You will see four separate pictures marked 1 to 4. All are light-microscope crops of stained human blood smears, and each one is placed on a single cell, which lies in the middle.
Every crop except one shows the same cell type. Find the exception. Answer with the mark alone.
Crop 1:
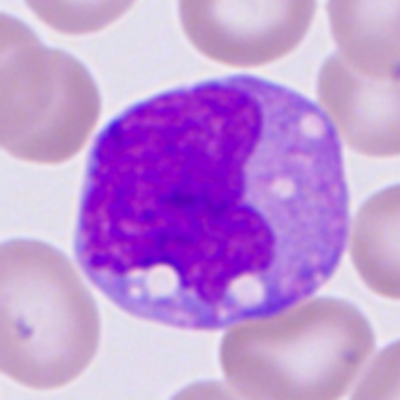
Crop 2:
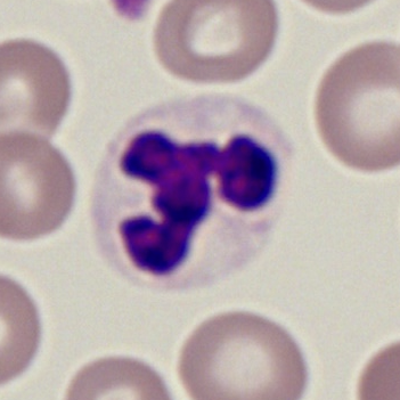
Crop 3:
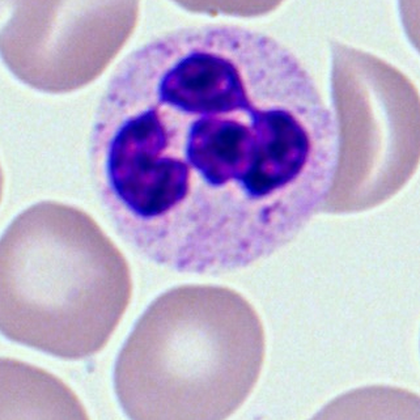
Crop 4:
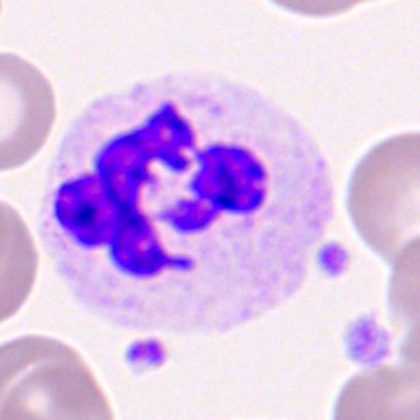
1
